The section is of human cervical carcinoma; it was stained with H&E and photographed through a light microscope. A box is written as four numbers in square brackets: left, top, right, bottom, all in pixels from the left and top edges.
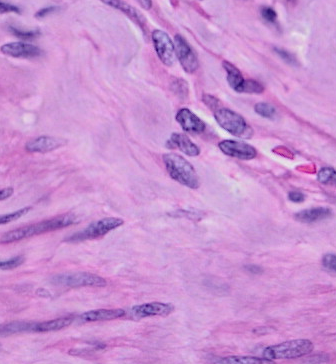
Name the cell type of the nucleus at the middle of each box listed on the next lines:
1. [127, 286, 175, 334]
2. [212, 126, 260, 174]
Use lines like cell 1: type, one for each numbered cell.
cell 1: smooth muscle cell
cell 2: endothelial cell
